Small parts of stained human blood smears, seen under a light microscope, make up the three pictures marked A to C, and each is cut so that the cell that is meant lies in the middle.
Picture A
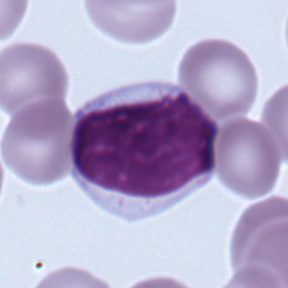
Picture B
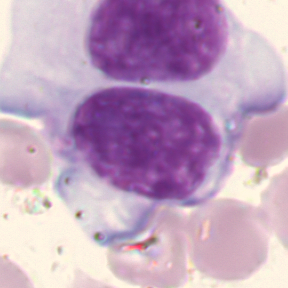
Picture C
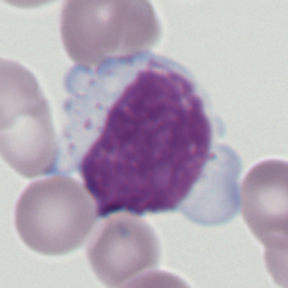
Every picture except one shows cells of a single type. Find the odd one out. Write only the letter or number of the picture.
B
